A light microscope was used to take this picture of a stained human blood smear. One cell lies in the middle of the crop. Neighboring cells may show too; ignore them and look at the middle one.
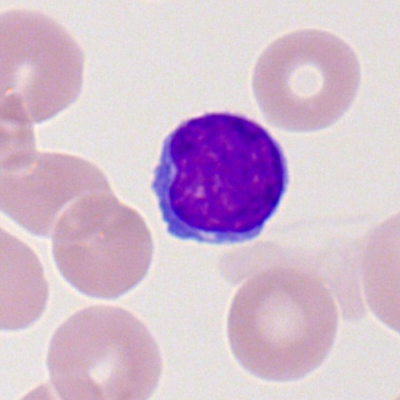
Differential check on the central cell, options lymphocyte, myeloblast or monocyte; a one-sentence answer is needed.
The cell that lies at the centre of the crop is a lymphocyte.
